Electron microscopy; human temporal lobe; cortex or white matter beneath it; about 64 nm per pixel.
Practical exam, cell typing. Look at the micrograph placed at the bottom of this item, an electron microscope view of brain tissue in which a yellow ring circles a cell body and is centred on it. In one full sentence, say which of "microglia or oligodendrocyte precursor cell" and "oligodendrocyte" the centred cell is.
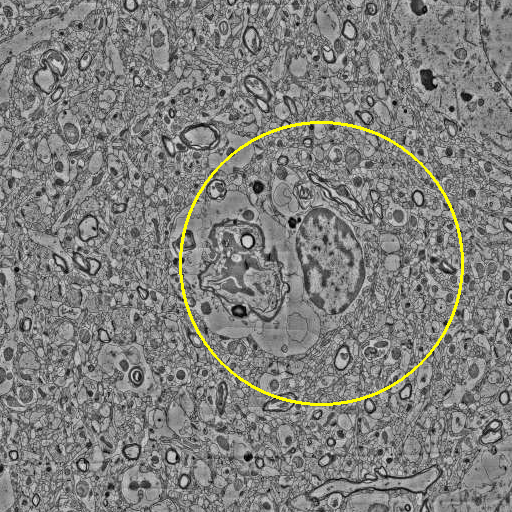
Given the options, a microglial cell or oligodendrocyte precursor cell fits the cell whose body the yellow ring is centred on.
